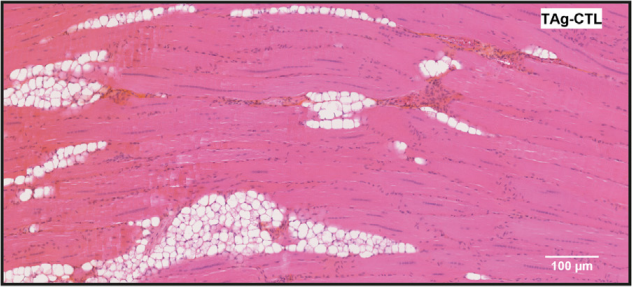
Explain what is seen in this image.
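Longitudinally cut skeletal muscle fibres, stained pink, run across the field with small dark purple nuclei along them. Between the fibres lie clusters and streaks of intermuscular adipose tissue made of empty-looking white rounded adipocytes, some clusters large and irregular. Reddish-orange patches lie in the connective tissue near some of the fat clusters.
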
